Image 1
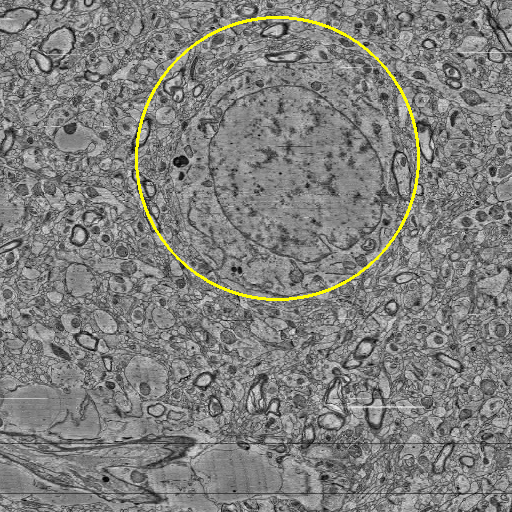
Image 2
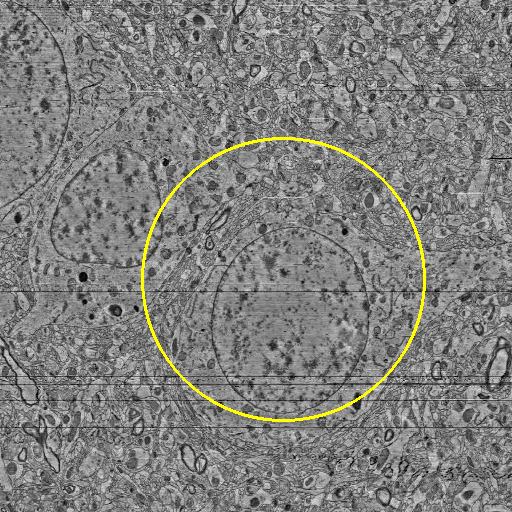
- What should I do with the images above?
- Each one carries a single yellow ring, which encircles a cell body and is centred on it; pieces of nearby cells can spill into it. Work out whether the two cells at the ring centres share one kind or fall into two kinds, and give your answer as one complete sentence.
The ring-centre cells of Image 1 and Image 2 share one kind.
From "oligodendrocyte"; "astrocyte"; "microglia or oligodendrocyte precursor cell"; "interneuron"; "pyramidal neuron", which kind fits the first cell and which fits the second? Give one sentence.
Both the first and the second picture show a pyramidal neuron in the ring.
